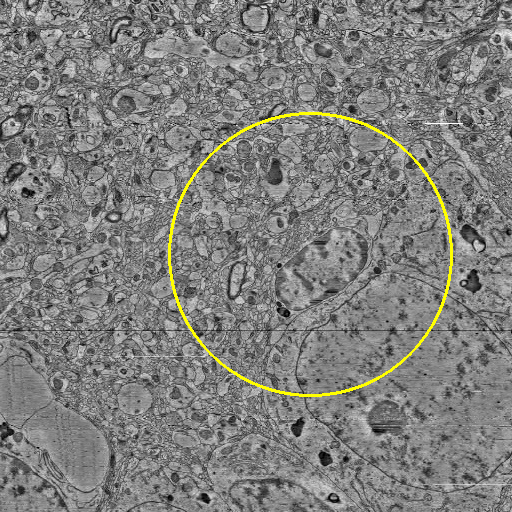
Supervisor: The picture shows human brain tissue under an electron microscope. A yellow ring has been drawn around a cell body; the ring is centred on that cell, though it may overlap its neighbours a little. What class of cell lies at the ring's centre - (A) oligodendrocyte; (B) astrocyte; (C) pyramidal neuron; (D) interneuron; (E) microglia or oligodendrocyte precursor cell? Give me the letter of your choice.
E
